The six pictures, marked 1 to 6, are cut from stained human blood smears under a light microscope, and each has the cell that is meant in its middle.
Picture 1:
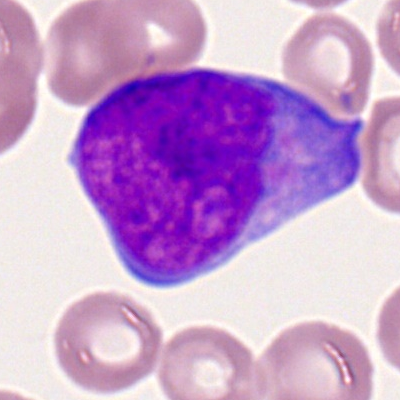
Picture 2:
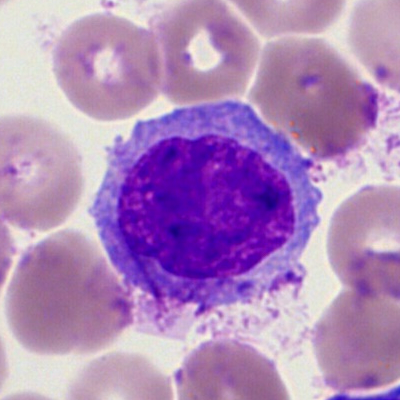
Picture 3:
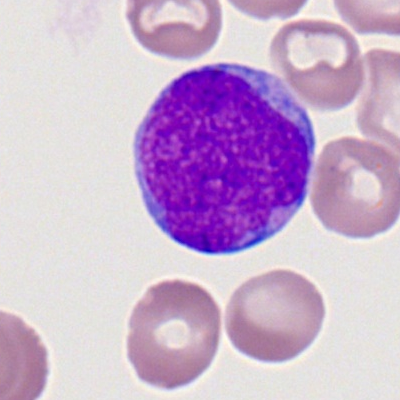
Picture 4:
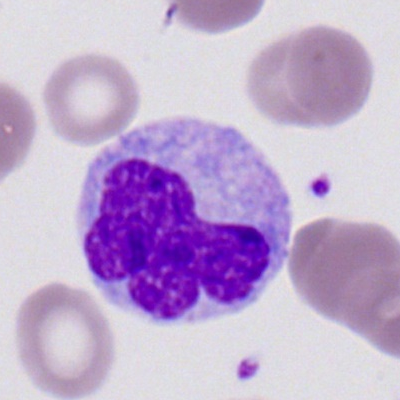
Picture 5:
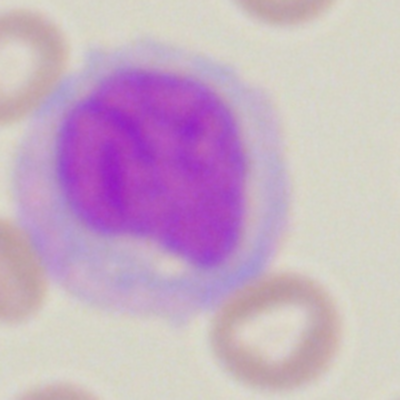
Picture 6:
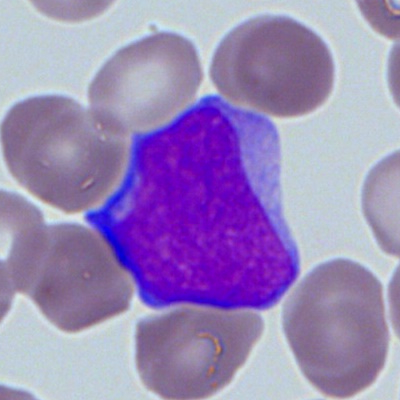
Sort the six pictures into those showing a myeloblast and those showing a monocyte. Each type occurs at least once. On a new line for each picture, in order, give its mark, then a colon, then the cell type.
1: myeloblast
2: myeloblast
3: myeloblast
4: monocyte
5: monocyte
6: myeloblast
